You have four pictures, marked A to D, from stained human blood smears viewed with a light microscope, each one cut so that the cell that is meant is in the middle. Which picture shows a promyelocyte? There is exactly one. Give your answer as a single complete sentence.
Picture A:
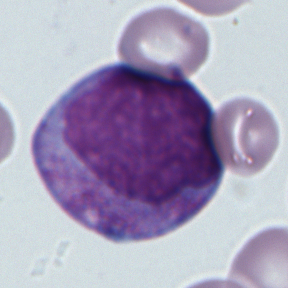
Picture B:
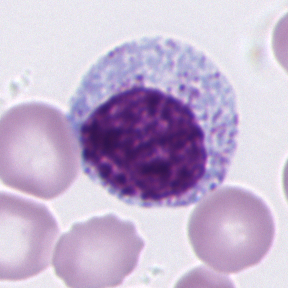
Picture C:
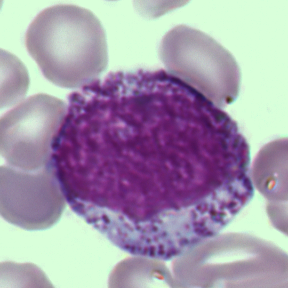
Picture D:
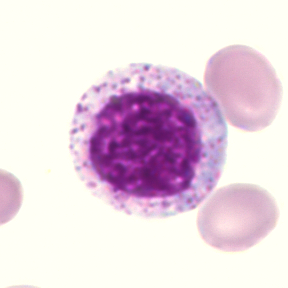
The picture with the promyelocyte is A.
